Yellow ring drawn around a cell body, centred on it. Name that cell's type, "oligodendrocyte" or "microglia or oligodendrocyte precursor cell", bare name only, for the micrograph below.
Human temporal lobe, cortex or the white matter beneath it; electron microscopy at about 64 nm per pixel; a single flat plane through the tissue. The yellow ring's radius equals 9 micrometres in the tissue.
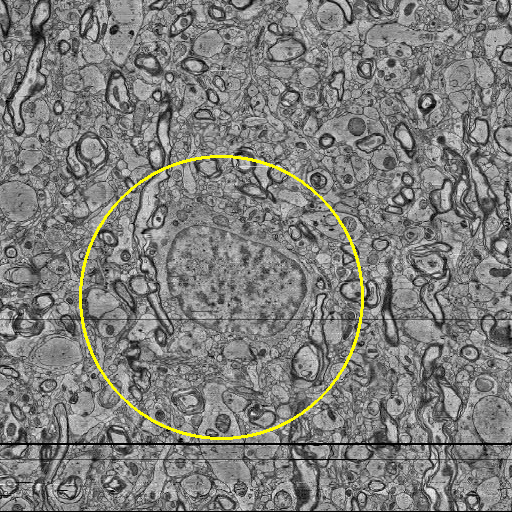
oligodendrocyte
